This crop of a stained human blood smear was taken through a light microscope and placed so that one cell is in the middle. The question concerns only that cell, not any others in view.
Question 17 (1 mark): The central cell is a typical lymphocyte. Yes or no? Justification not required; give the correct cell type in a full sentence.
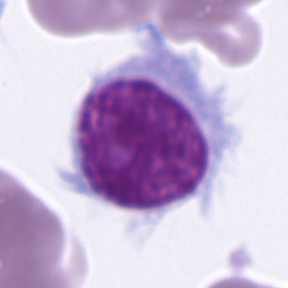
No, the central cell is identified not as a typical lymphocyte but as a hairy cell.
